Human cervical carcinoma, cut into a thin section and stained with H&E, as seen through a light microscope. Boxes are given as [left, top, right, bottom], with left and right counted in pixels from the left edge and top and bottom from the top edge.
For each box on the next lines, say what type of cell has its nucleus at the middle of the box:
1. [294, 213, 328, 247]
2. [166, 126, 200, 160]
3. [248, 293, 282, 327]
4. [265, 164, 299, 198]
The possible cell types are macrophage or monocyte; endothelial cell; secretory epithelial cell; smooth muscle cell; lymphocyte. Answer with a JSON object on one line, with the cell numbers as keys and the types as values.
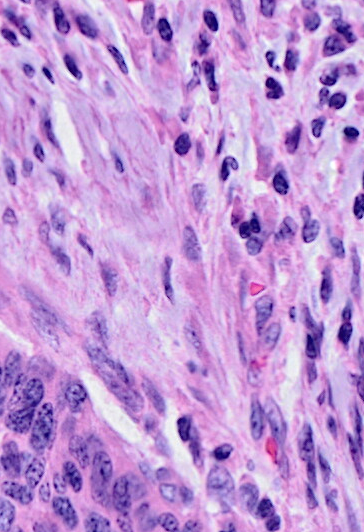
{"1": "lymphocyte", "2": "lymphocyte", "3": "endothelial cell", "4": "lymphocyte"}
